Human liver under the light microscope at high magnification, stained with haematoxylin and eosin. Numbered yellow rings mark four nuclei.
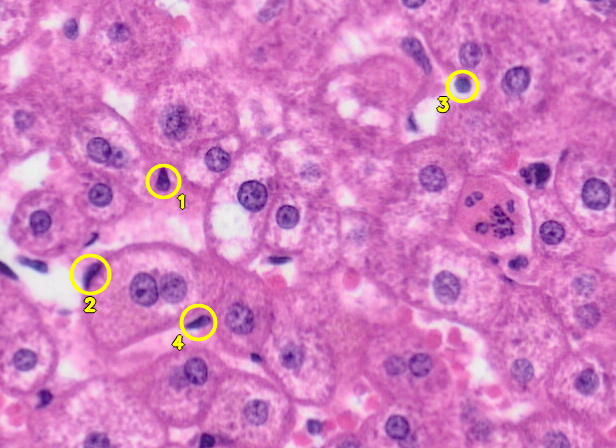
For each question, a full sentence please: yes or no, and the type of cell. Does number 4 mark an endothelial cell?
Yes, the marked cell with number 4 is an endothelial cell.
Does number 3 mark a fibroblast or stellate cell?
No, the cell tagged 3 is a lymphocyte, and not a fibroblast or stellate cell.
